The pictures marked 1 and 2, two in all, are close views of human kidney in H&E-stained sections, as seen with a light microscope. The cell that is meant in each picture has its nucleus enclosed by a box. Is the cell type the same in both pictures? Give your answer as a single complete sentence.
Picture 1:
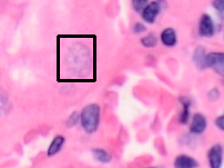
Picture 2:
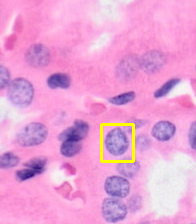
No, they differ: the cell is a proximal tubule cell in picture 1 and a collecting duct cell in picture 2.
